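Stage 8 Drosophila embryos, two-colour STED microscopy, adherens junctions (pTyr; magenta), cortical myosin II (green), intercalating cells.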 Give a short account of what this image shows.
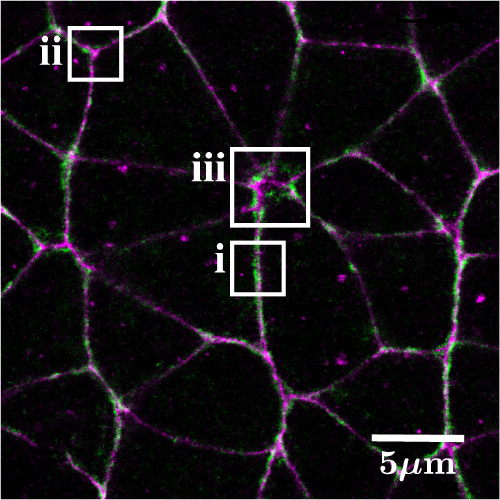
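The cells are irregular polygons of different sizes, and their interiors are dark apart from a few small scattered dots. The boundaries appear as thin lines in which the magenta and green signals run together, giving a whitish outline that is beaded rather than smooth. Where boundaries meet, mostly three at a time, the signal is often brighter. In one place several cell outlines converge on a small region where the signal forms a cluster, as at the centre of a rosette.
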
